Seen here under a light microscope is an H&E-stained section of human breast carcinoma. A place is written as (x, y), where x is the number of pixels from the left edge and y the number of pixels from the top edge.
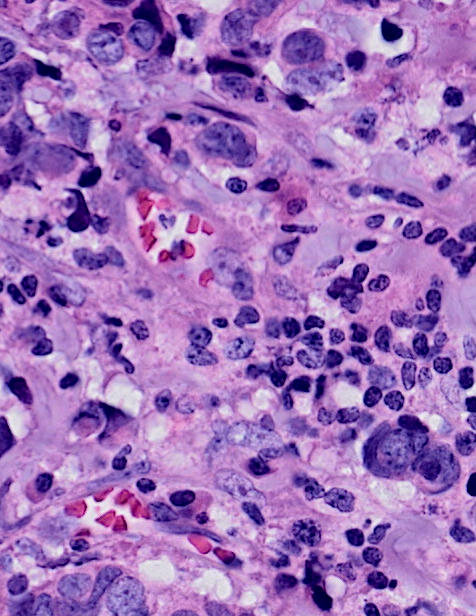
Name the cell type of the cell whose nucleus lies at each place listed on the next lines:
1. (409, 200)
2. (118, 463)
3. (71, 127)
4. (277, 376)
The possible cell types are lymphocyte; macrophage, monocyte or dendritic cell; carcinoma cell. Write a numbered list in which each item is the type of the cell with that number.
1. lymphocyte
2. lymphocyte
3. carcinoma cell
4. lymphocyte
